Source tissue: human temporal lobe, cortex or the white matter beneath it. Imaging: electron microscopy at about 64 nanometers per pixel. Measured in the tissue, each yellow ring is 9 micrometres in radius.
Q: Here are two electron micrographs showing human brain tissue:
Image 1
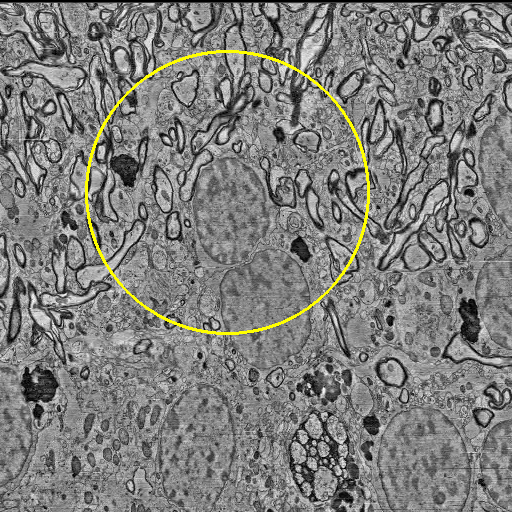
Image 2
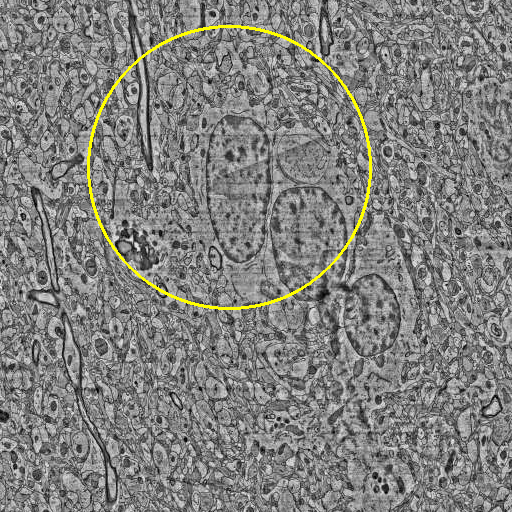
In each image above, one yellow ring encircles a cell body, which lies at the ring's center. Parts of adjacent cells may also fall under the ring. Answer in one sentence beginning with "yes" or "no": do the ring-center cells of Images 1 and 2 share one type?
No, in Images 1 and 2, the ring-center cells are of two types.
